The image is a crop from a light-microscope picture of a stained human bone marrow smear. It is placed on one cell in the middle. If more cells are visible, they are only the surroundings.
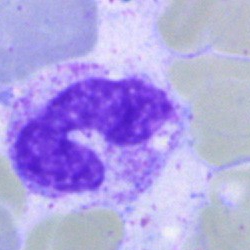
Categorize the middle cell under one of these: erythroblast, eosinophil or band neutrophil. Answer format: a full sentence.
The middle position in this crop is taken by a band neutrophil.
